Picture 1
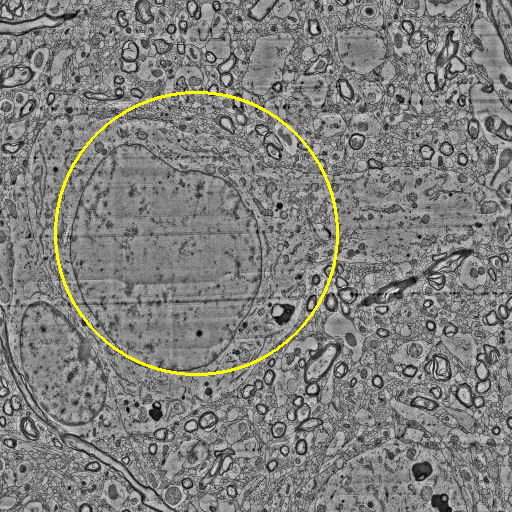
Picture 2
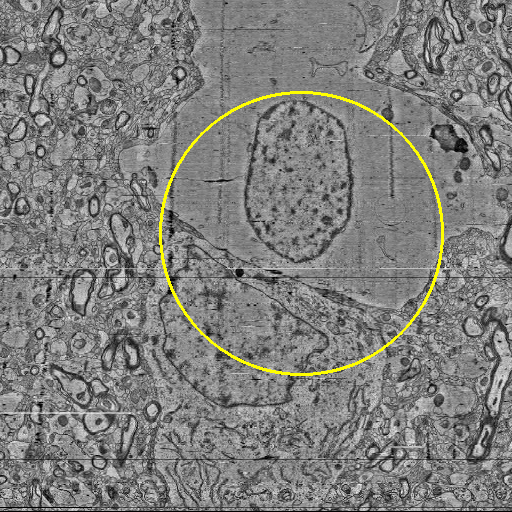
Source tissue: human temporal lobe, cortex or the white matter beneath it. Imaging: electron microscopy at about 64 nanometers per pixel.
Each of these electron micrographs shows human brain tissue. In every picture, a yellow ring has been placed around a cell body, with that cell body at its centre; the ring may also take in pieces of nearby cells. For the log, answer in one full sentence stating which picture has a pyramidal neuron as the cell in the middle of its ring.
In picture 1, the cell at the centre of the yellow ring is the requested one.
